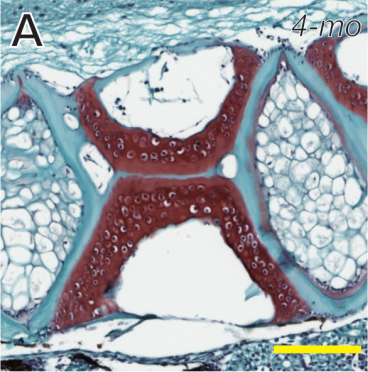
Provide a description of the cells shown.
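This is spinal cartilage in a section through the vertebral column, with red-stained cartilage matrix arranged in bands around large clear central spaces. Chondrocytes are scattered through the red matrix, each sitting in a small pale lacuna with a dark purple nucleus.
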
